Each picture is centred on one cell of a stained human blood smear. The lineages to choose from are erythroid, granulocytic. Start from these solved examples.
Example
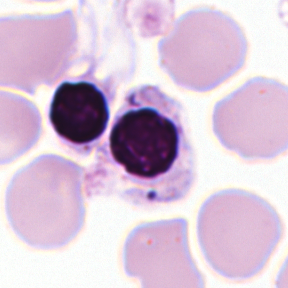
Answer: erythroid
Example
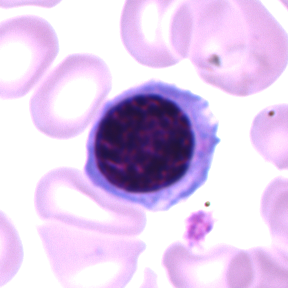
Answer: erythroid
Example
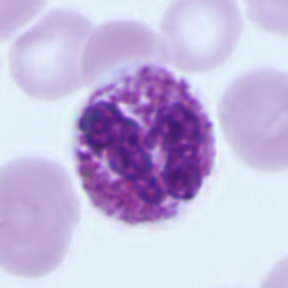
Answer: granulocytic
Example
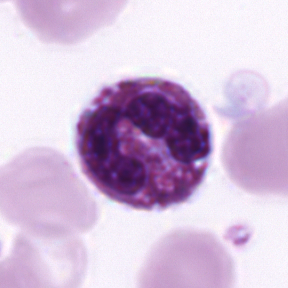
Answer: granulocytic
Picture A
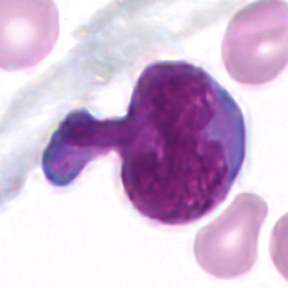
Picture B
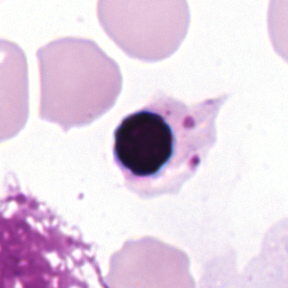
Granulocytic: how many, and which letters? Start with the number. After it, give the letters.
1: A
